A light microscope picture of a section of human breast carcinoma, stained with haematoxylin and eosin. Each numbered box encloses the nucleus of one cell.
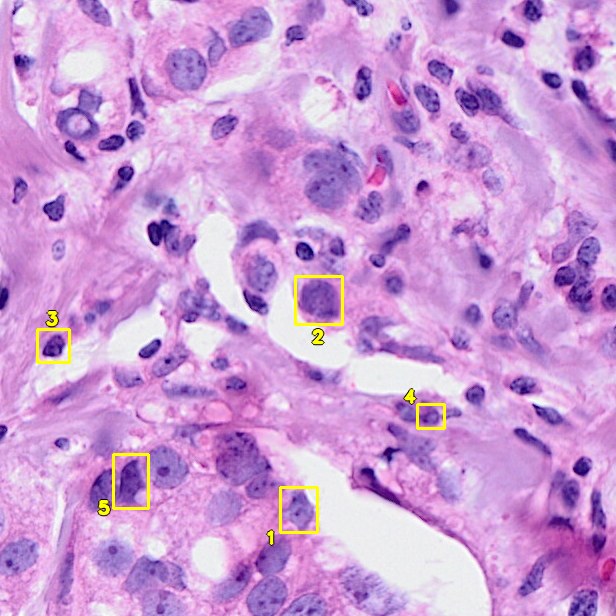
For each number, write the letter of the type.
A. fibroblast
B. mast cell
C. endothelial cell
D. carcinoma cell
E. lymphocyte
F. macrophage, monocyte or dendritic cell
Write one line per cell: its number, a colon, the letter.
1: D
2: D
3: E
4: C
5: D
